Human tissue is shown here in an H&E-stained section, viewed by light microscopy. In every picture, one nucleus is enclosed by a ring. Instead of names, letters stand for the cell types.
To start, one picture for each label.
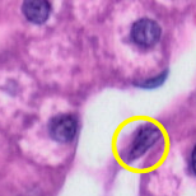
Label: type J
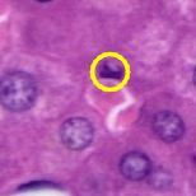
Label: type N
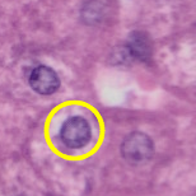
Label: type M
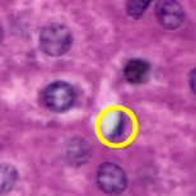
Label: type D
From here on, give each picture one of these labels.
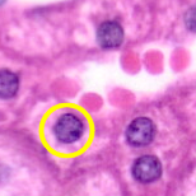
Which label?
type M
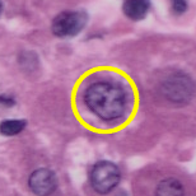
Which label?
type M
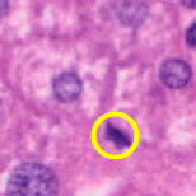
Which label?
type N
